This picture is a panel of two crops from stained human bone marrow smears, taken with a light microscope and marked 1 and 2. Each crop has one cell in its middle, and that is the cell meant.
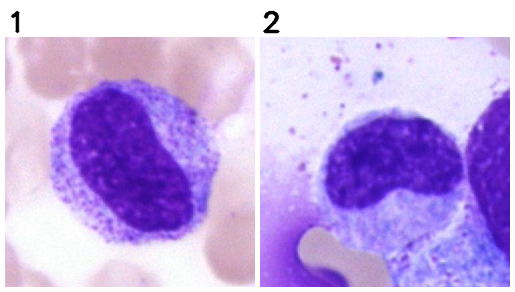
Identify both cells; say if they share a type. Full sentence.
Yes, in short, both crops show metamyelocytes.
